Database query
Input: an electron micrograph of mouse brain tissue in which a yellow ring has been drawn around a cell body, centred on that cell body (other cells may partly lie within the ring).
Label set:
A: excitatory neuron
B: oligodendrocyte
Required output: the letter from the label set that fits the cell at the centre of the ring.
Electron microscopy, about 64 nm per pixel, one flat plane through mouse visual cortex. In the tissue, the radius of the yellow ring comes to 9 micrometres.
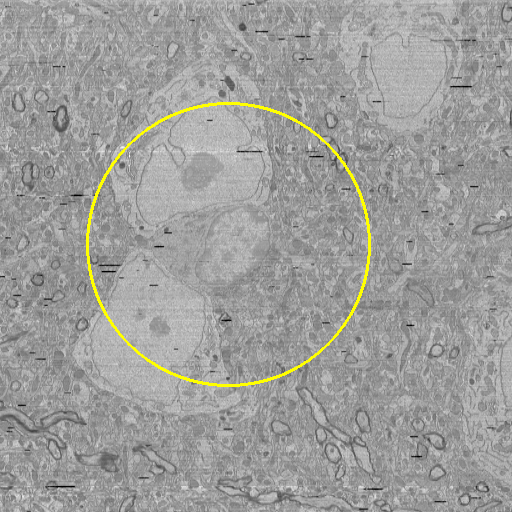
B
